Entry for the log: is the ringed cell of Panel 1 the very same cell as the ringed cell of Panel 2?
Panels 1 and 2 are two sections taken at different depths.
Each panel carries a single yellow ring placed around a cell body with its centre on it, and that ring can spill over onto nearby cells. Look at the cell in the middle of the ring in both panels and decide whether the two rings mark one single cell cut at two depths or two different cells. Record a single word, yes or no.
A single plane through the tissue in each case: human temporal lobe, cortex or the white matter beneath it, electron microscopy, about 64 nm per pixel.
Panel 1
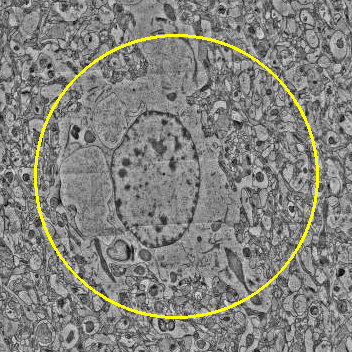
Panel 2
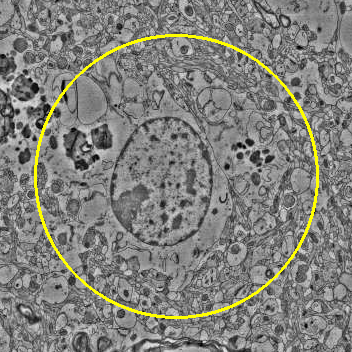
no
